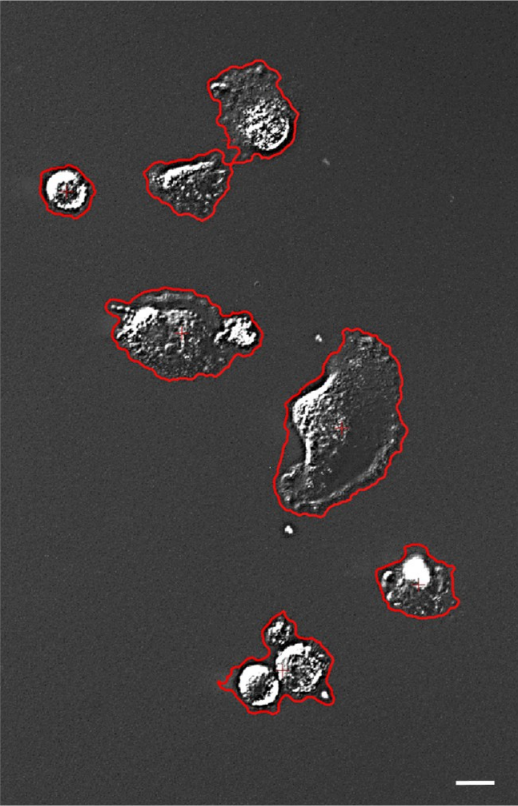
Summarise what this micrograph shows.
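This is a differential interference contrast image of cultured cells lying singly and in small groups on a flat, even substrate. The cells differ widely in form: some are small and rounded with a bright, raised rim, others are large, flattened and elongated or irregular, spreading with thin, pale margins. Several touch one another, forming small clusters that join rounded and spread cells. The cytoplasm has a coarse, granular, relief-shaded texture, brightest over the thicker central body. A few small bright particles lie free in the background.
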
